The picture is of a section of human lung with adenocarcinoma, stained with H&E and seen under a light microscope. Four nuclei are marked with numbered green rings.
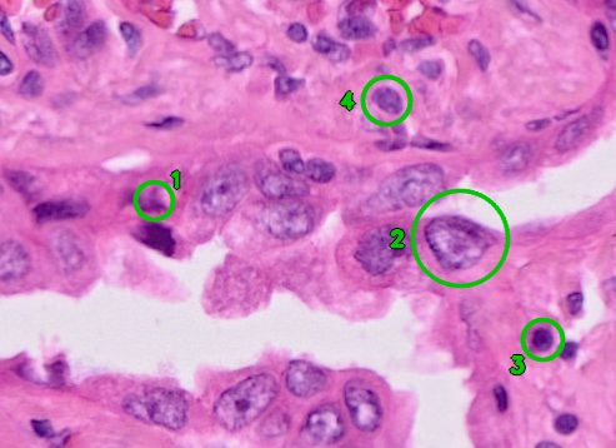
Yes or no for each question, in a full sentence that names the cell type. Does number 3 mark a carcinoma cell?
No, the cell given number 3 is a plasma cell, not a carcinoma cell.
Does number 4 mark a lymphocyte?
Yes, it checks out; the cell labelled 4 is a lymphocyte.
